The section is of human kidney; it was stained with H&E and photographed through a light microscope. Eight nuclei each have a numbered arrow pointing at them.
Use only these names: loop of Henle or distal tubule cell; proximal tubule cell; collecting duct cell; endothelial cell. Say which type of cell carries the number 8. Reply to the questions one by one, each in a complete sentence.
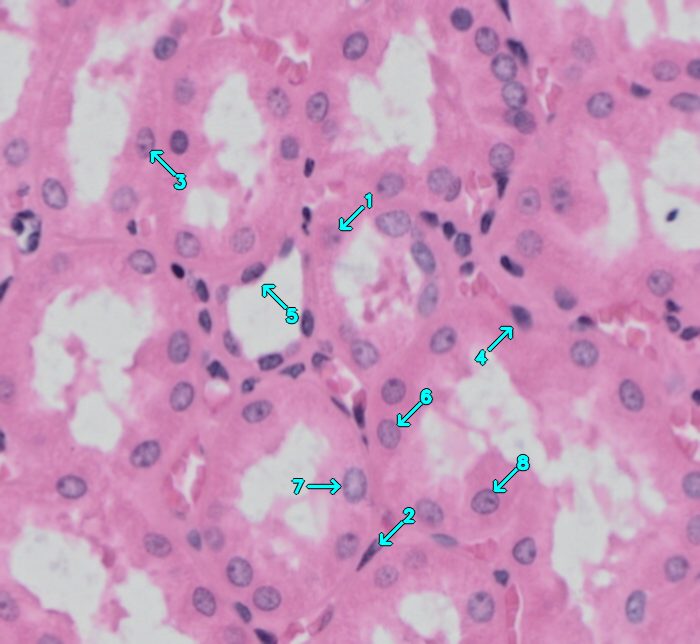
Numbered cell 8 is a proximal tubule cell in this tissue section.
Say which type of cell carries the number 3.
The cell referred to as 3 is a proximal tubule cell.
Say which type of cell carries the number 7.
The one numbered 7 among the marked cells is a proximal tubule cell.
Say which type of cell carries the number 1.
Denoted by the label 1 in the section is a proximal tubule cell.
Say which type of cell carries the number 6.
Identified by the number 6, the cell is a proximal tubule cell.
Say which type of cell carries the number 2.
Identified as an endothelial cell is the cell bearing the number 2.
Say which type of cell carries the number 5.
Classified as a loop of Henle or distal tubule cell is the cell with the number 5.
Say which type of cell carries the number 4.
In this section, number 4 marks an endothelial cell.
